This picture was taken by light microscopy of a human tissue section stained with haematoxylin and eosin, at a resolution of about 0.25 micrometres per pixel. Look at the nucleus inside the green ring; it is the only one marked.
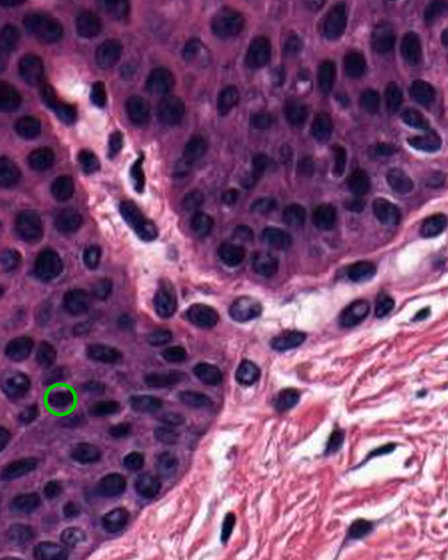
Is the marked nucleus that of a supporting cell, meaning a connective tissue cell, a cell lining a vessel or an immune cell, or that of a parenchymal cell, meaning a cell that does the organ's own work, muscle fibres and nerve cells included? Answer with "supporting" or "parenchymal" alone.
parenchymal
